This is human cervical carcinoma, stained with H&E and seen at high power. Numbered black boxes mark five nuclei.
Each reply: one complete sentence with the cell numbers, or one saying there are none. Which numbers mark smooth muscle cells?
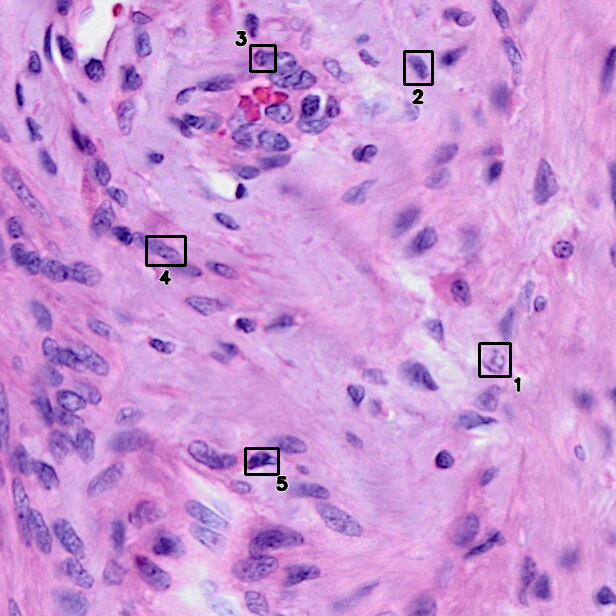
Only the cell marked 4 is a smooth muscle cell.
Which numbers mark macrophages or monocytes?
Only the nucleus marked 1 is that of a macrophage or monocyte.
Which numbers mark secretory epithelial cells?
None of the cells bearing numbers are secretory epithelial cells.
